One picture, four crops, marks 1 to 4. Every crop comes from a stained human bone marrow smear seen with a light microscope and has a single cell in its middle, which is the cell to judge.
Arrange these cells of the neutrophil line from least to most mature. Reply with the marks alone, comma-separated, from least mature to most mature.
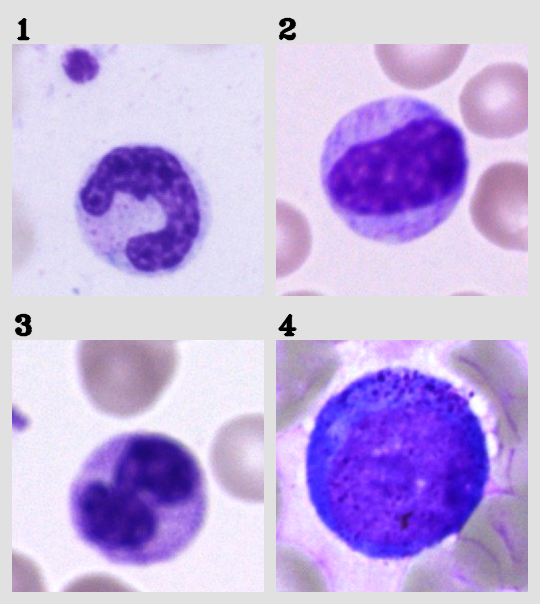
4, 2, 1, 3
